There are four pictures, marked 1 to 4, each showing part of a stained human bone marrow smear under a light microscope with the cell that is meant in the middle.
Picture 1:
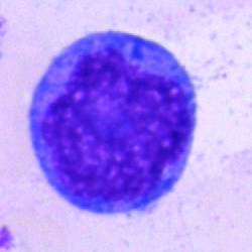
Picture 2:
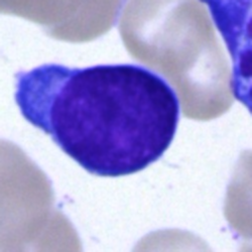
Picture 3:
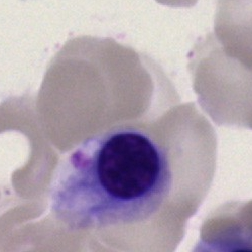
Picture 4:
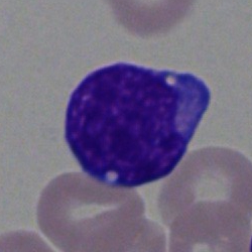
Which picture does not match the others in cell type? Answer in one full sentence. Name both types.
Picture 3 differs, because its cell is an erythroblast and the rest are blasts.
